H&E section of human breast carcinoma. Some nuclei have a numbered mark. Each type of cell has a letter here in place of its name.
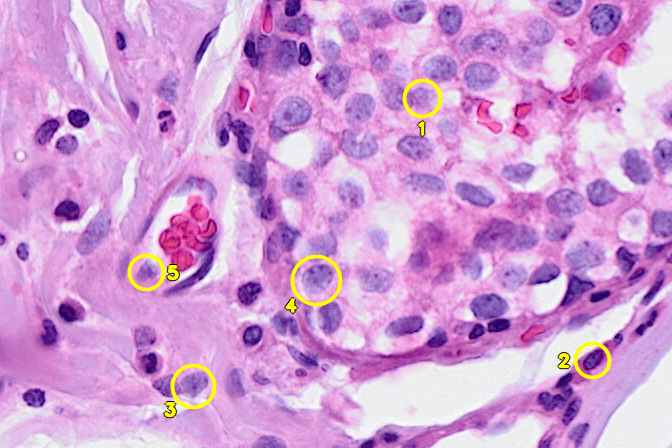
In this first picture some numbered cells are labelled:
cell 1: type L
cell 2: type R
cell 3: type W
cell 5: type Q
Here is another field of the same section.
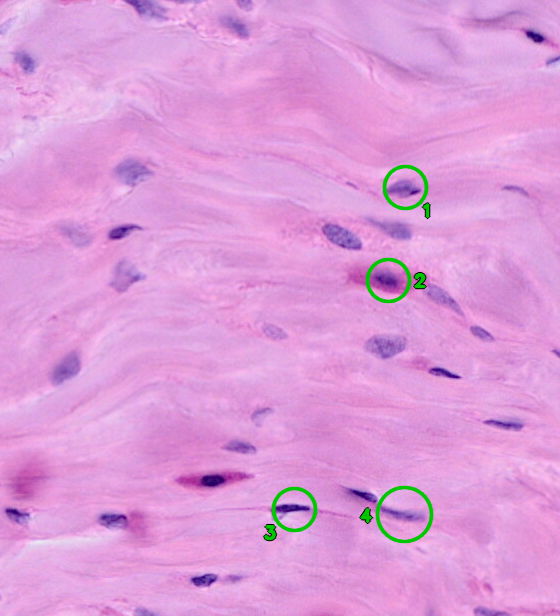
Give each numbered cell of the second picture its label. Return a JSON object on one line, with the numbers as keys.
{"1": "type W", "2": "type R", "3": "type W", "4": "type W"}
